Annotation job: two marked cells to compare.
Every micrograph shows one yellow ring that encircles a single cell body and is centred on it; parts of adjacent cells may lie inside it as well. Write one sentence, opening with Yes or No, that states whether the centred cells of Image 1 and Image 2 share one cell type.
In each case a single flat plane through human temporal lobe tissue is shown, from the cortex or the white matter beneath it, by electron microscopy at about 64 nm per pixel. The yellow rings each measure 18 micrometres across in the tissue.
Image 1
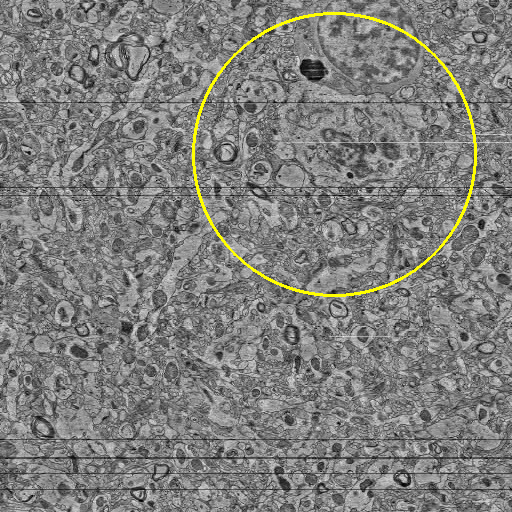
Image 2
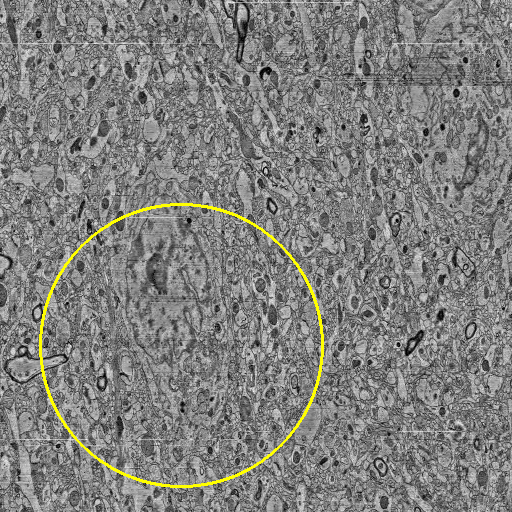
Yes, the cell centred in Image 1 shares its type with the cell centred in Image 2.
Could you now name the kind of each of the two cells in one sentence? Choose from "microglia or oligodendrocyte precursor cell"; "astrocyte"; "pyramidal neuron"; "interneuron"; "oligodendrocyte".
Each of the two rings surrounds an interneuron.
